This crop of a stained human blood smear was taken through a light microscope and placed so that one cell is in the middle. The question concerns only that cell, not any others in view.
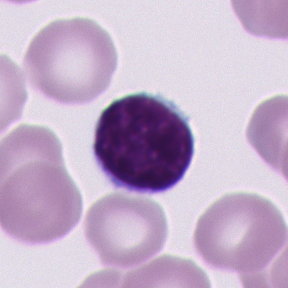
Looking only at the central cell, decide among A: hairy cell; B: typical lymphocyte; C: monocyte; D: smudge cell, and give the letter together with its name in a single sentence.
The correct response is option B, naming the cell in the middle as a typical lymphocyte.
